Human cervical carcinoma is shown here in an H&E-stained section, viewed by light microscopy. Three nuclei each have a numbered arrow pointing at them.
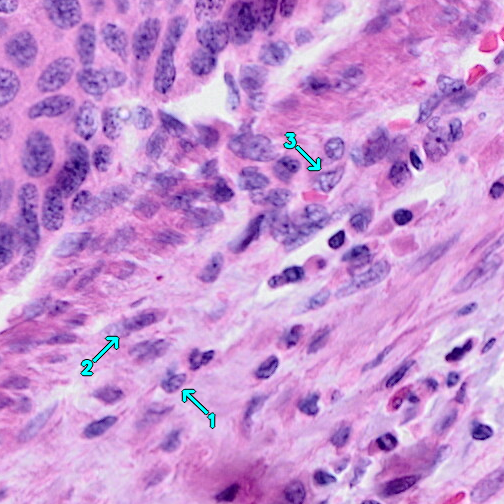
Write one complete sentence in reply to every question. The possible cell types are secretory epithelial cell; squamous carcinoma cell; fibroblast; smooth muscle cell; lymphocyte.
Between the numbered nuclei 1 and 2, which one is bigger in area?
It is nucleus 2, which covers about 2 times the area of nucleus 1.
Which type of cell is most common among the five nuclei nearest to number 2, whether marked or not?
Fibroblasts account for more than half of the five nuclei nearest to number 2.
